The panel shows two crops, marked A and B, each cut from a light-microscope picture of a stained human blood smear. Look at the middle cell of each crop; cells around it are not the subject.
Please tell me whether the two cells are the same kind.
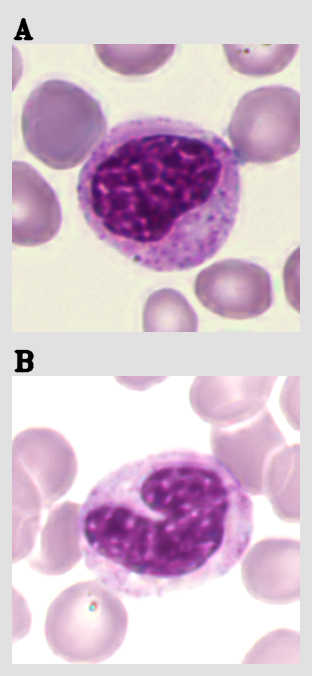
no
